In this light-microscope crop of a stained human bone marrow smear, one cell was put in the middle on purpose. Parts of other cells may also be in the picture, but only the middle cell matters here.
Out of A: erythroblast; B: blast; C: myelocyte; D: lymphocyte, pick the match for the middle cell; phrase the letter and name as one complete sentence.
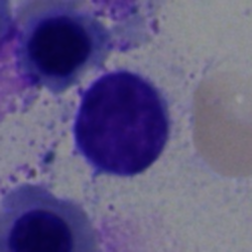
That cell in the center is a lymphocyte, hence option D.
